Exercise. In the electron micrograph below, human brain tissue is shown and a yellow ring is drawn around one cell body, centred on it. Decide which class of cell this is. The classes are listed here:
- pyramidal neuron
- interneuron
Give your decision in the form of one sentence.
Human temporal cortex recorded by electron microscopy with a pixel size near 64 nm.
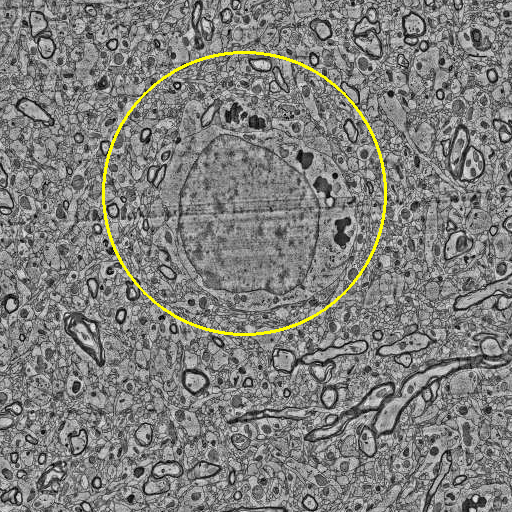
The cell body marked by the ring belongs to an interneuron.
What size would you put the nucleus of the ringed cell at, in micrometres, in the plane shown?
The ringed cell's nucleus is about 11 micrometres long and 9 micrometres wide in this plane.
